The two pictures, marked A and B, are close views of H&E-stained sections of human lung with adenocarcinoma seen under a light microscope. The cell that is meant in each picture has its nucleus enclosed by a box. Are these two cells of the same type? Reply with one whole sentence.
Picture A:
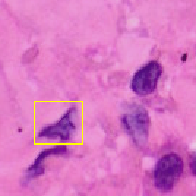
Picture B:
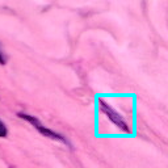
Yes, they are the same type: both are fibroblasts.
